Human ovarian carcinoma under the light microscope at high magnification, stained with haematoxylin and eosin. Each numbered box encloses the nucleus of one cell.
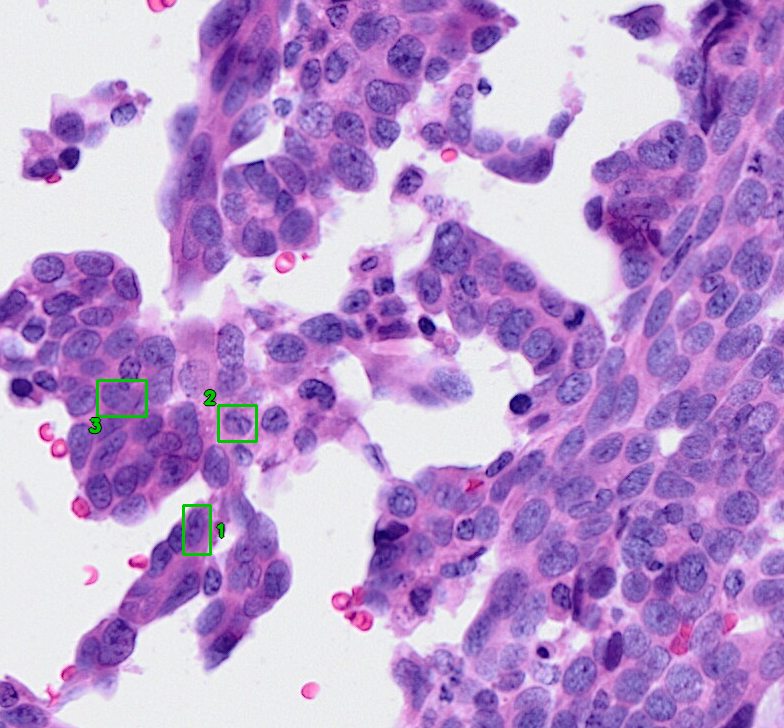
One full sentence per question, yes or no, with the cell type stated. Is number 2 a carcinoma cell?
No, the cell carrying number 2 is a macrophage or monocyte, not a carcinoma cell.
